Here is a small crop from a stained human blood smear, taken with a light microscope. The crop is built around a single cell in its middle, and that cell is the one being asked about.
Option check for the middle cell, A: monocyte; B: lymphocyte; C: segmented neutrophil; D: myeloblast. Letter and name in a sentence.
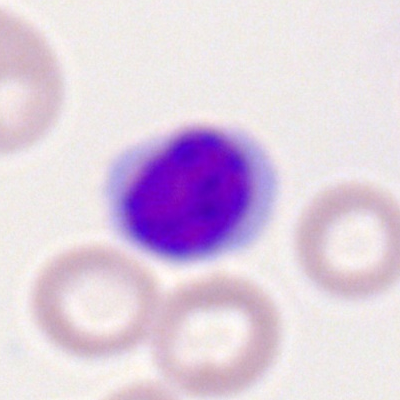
The cell centred in the crop is a lymphocyte, and the correct option is thus B.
